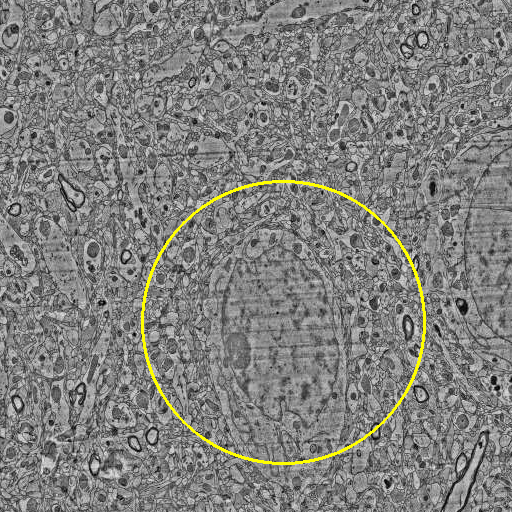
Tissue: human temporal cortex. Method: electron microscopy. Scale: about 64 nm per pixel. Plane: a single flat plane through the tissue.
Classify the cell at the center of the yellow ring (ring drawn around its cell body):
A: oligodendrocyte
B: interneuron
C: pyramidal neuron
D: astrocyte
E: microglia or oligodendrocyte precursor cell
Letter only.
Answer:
B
